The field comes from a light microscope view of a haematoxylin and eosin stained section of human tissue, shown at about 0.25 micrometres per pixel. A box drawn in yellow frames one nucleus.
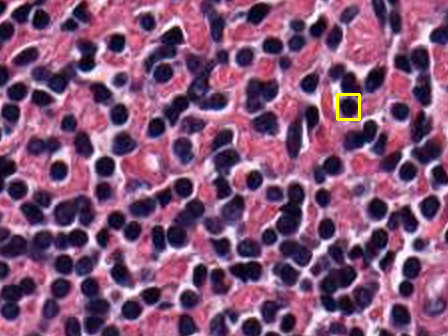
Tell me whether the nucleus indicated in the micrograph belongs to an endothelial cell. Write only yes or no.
no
